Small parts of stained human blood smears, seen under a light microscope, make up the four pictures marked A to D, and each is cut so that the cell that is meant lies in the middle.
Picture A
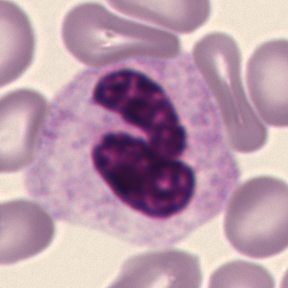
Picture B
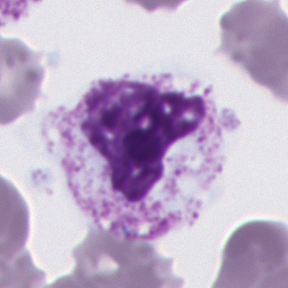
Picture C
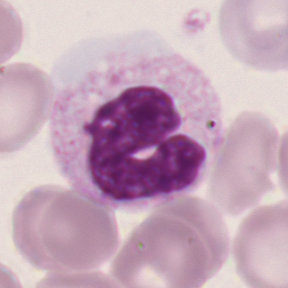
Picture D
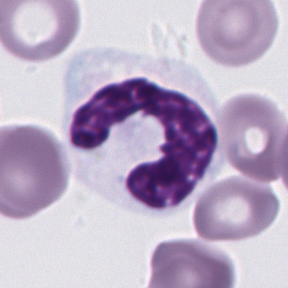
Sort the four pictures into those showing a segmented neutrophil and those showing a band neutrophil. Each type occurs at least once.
A: segmented neutrophil
B: segmented neutrophil
C: band neutrophil
D: band neutrophil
